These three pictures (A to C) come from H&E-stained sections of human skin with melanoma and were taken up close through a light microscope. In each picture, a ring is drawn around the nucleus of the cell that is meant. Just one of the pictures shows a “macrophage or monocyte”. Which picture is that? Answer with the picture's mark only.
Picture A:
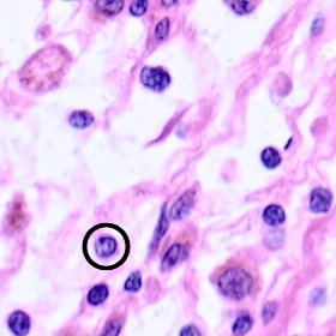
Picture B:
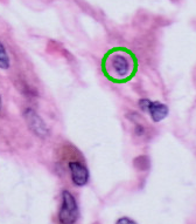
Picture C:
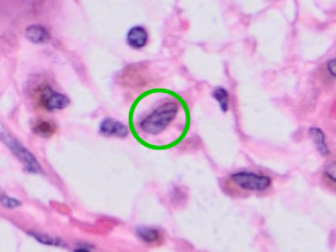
C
